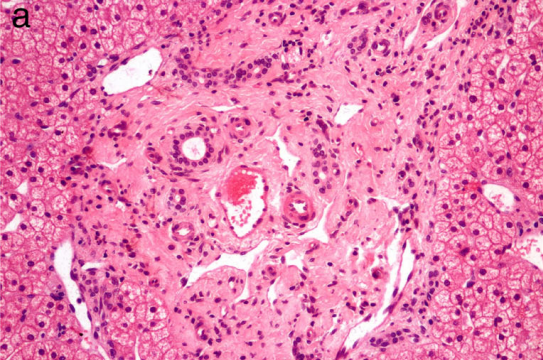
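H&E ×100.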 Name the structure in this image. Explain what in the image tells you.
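A central zone of pink fibrous stroma holds a small duct lined by cuboidal cells, small arteries and thin-walled vessels. Plates of polygonal cells with pale cytoplasm and round central nuclei surround this zone. That points to this answer: Portal tract.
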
